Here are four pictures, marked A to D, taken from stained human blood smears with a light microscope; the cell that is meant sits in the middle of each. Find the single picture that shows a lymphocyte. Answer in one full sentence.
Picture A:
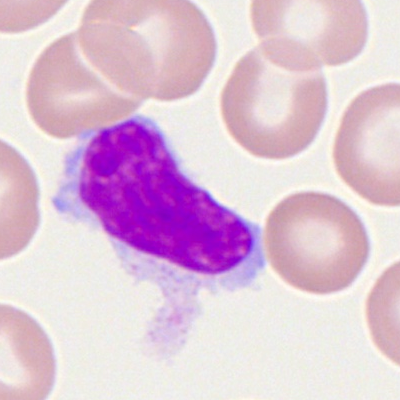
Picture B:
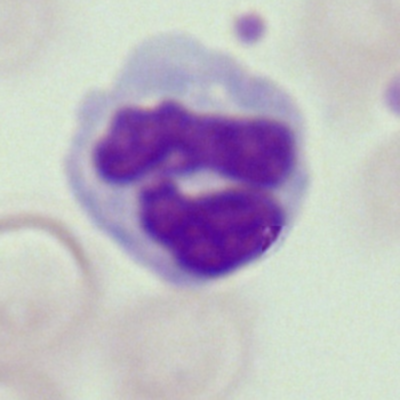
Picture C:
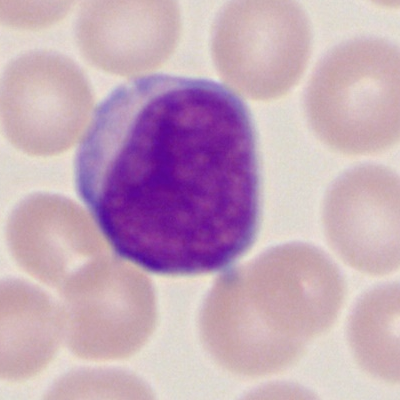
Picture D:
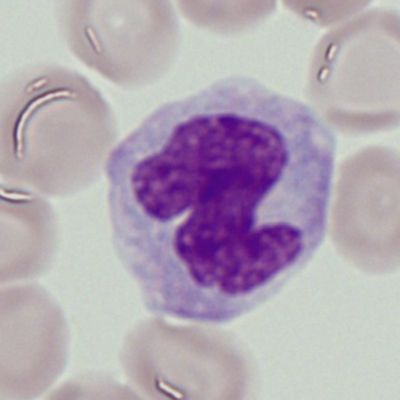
The picture with the lymphocyte is A.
